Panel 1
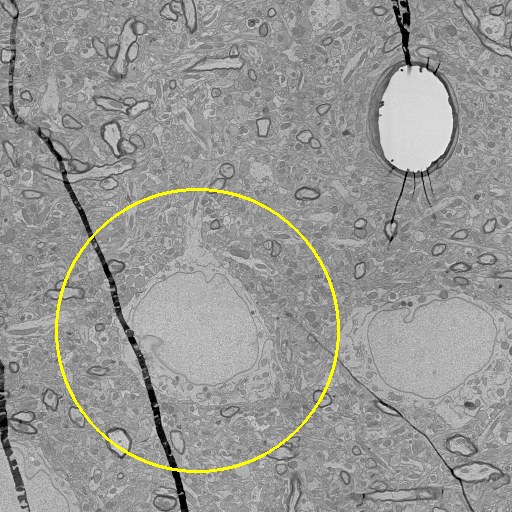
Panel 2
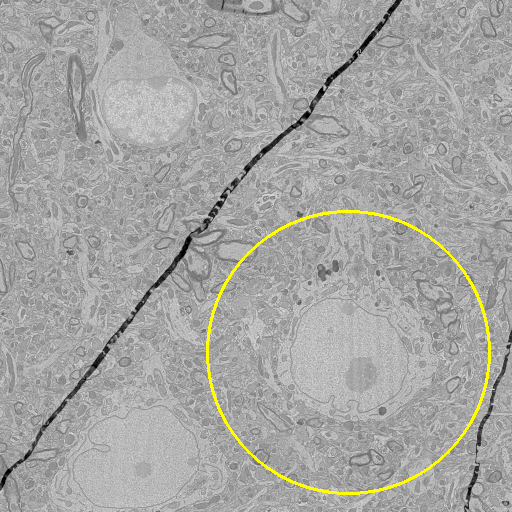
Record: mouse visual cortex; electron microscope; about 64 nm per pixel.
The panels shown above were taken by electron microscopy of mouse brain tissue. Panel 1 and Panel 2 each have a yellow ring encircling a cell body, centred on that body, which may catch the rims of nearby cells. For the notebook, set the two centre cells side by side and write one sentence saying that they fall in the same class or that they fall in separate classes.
The centred cells of Panel 1 and Panel 2 fall in the same class.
